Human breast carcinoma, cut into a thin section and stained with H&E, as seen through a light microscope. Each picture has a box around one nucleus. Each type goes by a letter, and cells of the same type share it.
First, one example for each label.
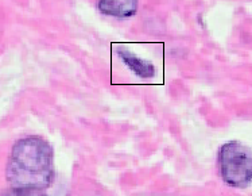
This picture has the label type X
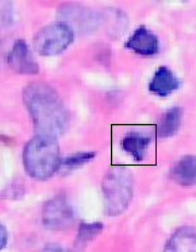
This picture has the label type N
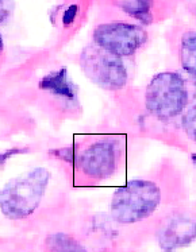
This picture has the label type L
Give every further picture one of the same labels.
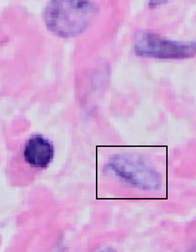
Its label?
type X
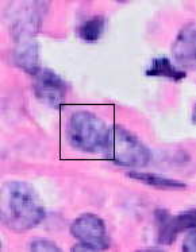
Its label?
type L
